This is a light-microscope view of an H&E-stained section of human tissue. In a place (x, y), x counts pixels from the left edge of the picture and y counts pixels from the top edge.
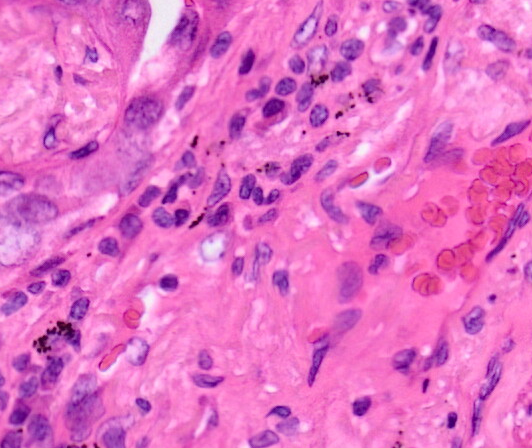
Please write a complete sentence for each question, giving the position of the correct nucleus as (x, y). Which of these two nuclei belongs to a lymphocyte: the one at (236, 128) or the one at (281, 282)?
The nucleus at (281, 282) is identified as belonging to a lymphocyte.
